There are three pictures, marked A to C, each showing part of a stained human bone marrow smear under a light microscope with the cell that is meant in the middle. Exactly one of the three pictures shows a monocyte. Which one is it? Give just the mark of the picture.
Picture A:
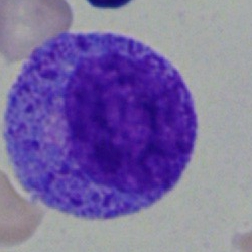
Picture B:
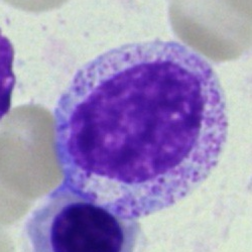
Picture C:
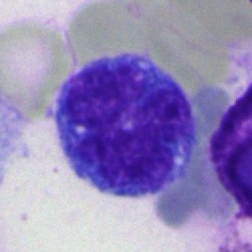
C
